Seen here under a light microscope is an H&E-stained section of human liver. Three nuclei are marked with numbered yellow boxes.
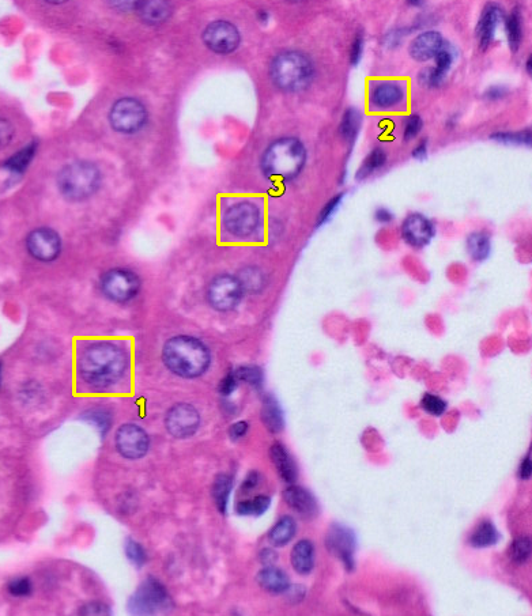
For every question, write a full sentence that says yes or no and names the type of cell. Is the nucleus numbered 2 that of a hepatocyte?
No, cell 2 counts as a cholangiocyte rather than as a hepatocyte.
